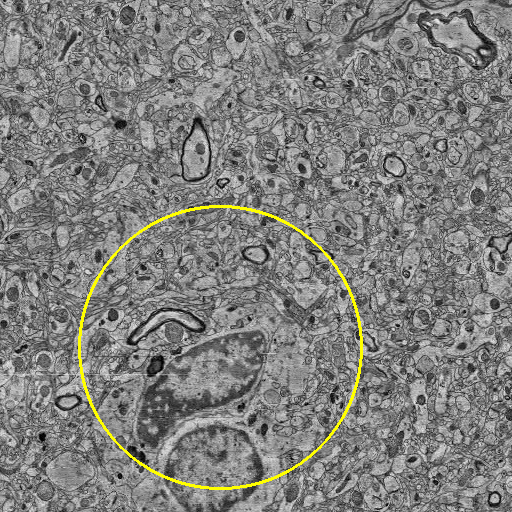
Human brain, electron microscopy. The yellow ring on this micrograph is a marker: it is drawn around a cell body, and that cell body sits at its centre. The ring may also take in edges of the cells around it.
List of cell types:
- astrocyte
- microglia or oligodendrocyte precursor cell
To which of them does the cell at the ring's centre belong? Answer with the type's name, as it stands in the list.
microglia or oligodendrocyte precursor cell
